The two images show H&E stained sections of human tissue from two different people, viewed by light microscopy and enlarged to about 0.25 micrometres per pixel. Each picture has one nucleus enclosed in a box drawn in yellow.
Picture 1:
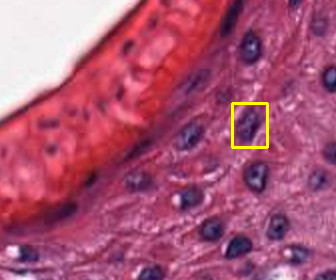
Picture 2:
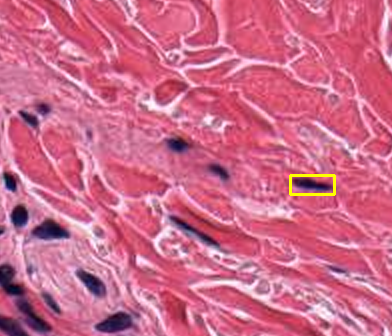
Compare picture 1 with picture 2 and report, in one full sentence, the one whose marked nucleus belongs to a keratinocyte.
Of the two pictures, picture 1 is the one in which the marked nucleus belongs to a keratinocyte.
